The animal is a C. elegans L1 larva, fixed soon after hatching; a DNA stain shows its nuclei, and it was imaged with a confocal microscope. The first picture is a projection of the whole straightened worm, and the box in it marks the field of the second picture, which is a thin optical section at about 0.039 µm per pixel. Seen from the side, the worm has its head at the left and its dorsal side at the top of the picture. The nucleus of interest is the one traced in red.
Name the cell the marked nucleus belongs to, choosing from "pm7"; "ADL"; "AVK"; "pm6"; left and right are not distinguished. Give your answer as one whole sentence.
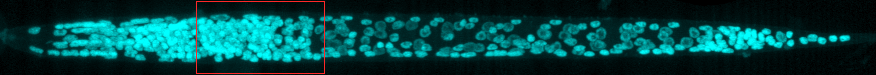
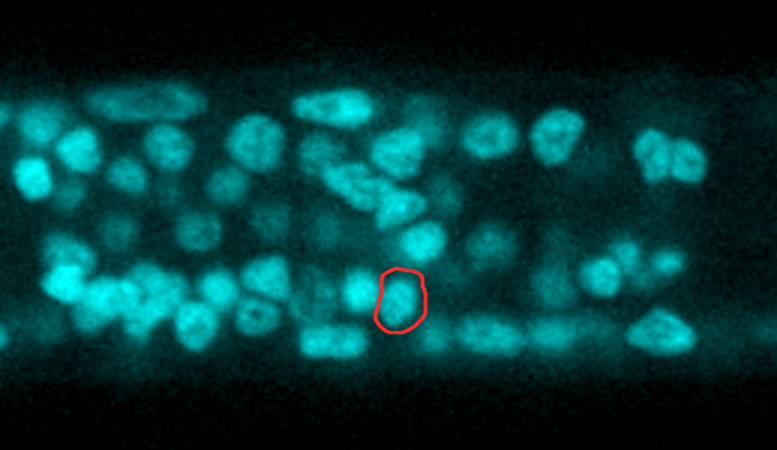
The cell whose nucleus is marked is AVK, a neuron.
